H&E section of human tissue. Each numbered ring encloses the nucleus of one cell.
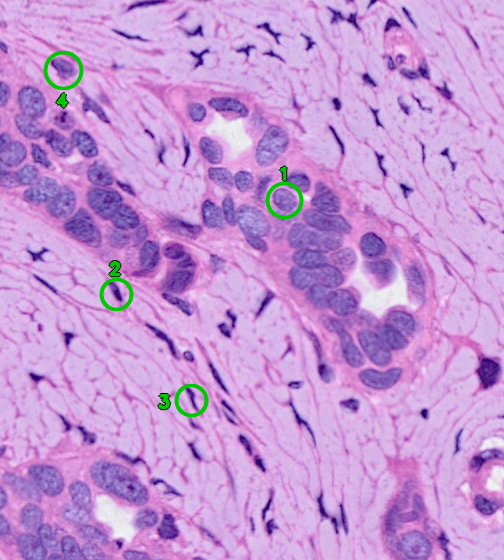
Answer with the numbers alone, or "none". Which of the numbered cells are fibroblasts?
2, 3, 4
